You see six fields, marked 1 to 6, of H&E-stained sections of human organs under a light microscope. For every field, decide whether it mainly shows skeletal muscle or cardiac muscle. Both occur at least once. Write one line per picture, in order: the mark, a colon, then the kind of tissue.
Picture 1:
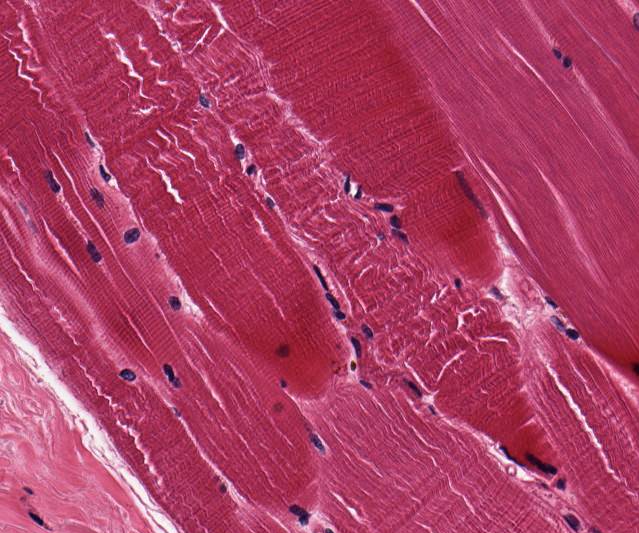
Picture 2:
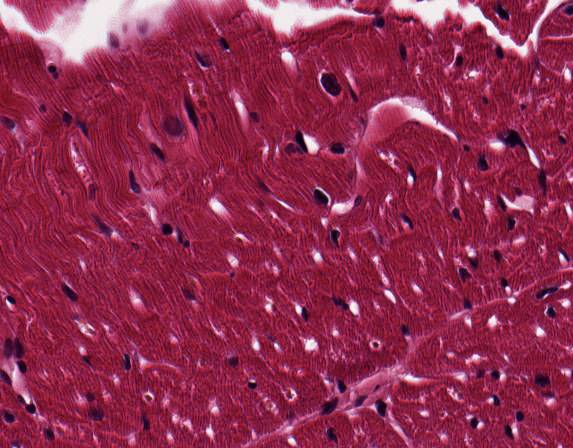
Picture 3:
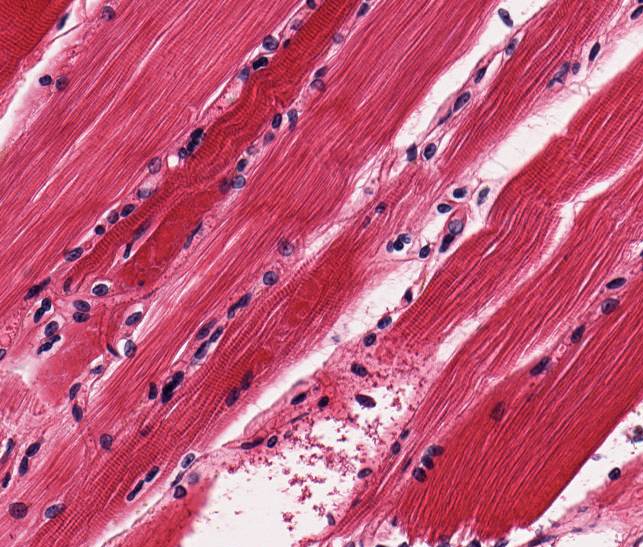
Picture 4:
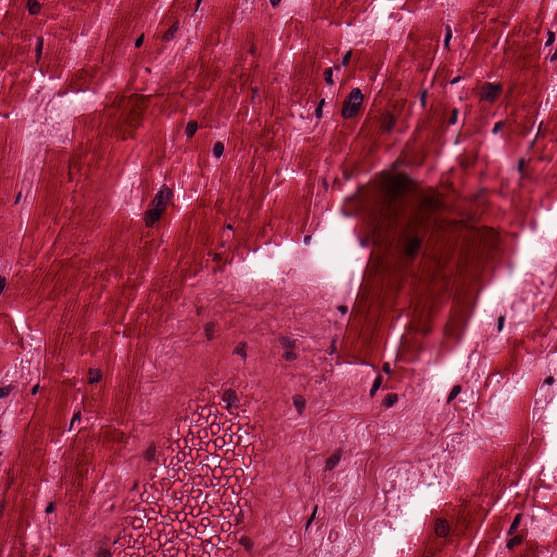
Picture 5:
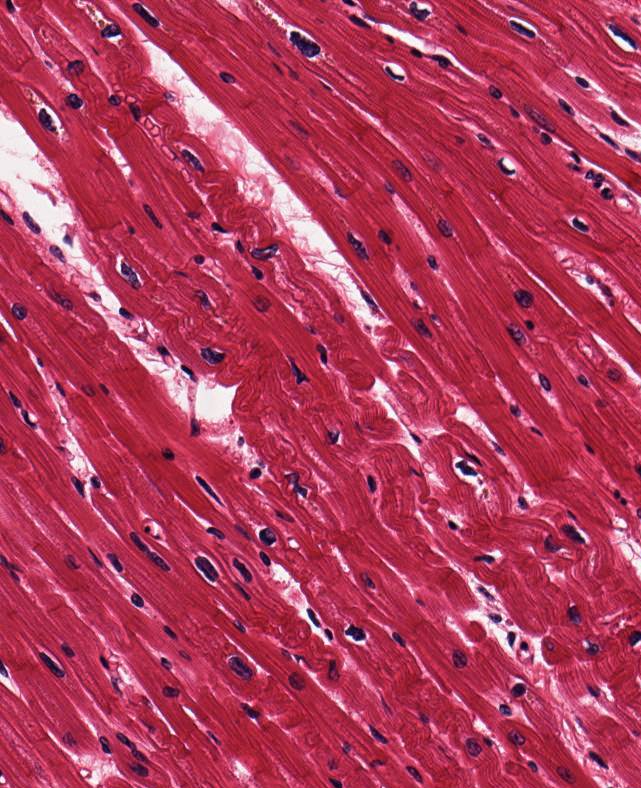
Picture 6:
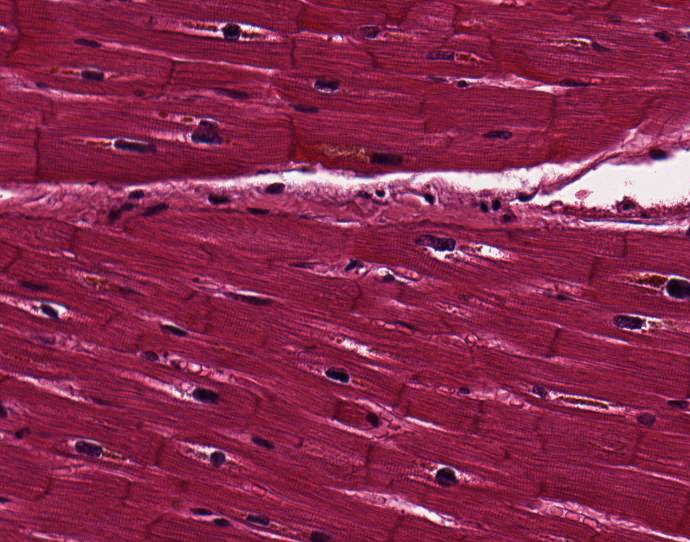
1: skeletal muscle
2: cardiac muscle
3: skeletal muscle
4: cardiac muscle
5: cardiac muscle
6: cardiac muscle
